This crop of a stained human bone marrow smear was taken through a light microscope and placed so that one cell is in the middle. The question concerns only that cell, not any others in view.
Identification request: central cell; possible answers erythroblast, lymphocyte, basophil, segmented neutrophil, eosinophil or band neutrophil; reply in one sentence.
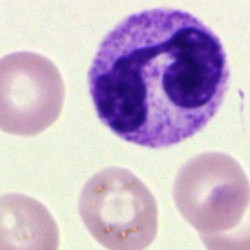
The cell positioned in the middle of the field is a segmented neutrophil.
